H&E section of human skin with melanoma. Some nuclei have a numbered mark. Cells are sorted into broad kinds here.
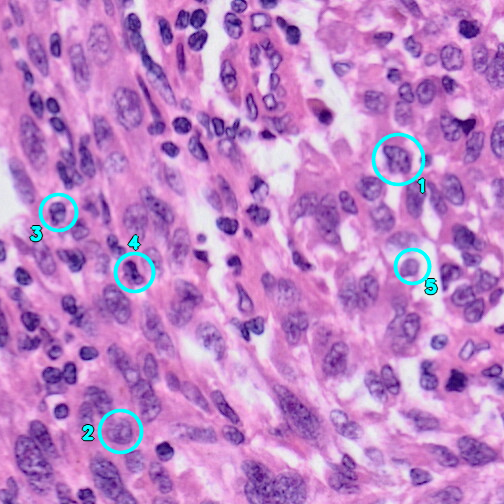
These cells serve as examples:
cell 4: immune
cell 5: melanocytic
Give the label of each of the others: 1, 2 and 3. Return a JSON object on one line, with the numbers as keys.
{"1": "melanocytic", "2": "melanocytic", "3": "immune"}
